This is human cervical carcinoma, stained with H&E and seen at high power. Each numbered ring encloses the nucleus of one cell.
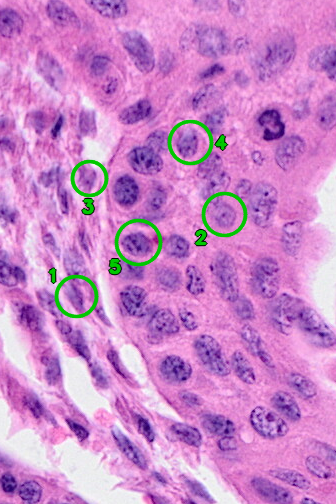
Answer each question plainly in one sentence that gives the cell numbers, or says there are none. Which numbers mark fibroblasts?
The cells carrying labels 1 and 3 are fibroblasts.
